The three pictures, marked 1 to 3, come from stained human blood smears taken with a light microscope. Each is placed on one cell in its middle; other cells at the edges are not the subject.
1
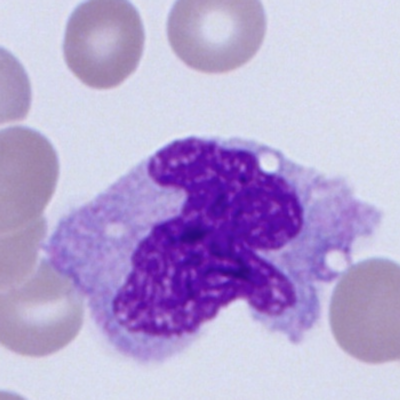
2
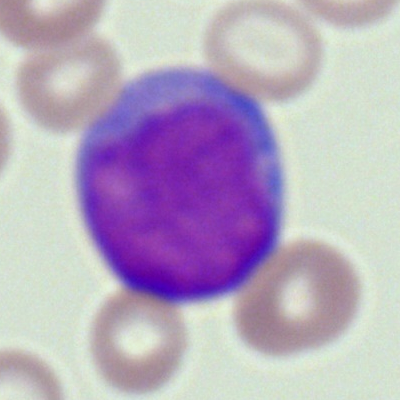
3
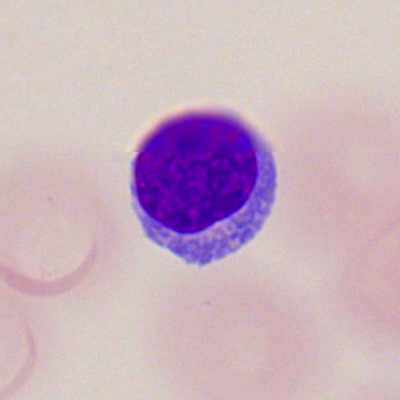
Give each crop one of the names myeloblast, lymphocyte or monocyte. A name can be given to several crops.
1: monocyte
2: myeloblast
3: lymphocyte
